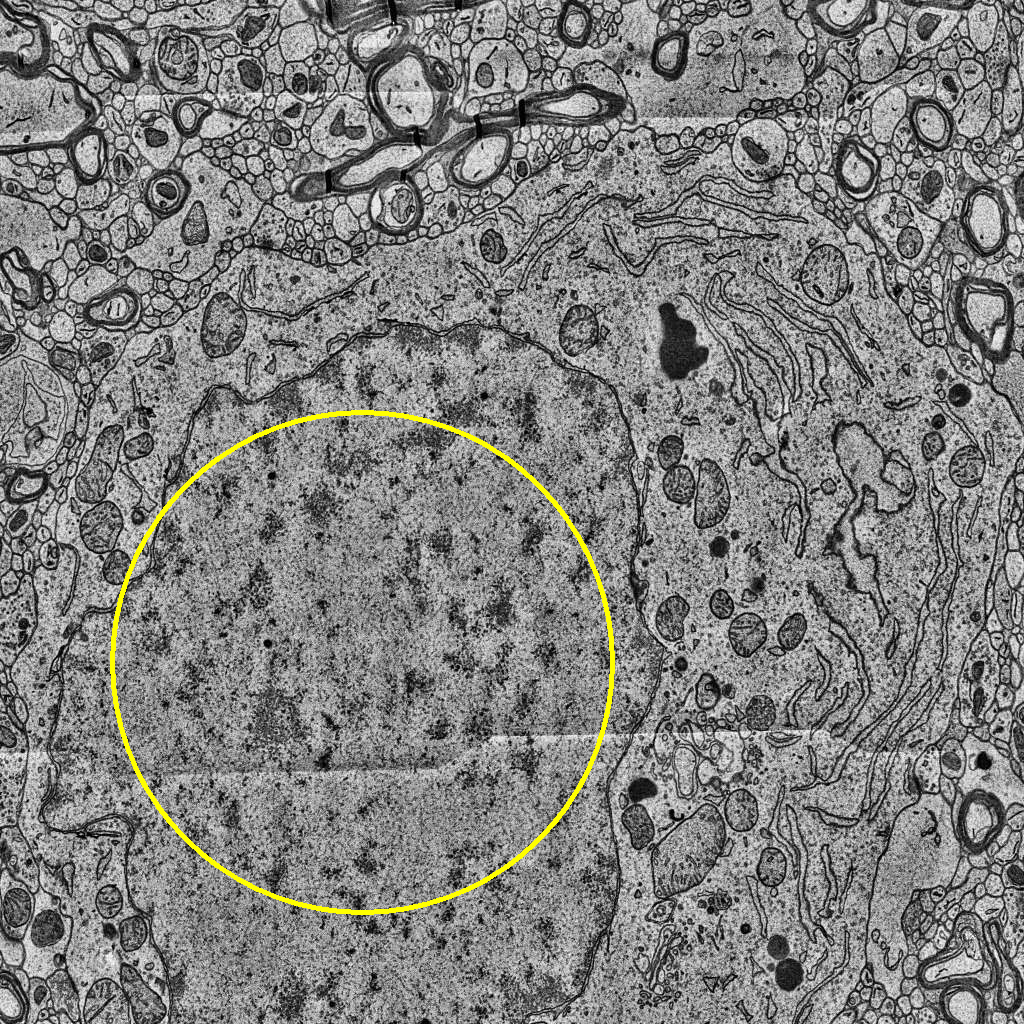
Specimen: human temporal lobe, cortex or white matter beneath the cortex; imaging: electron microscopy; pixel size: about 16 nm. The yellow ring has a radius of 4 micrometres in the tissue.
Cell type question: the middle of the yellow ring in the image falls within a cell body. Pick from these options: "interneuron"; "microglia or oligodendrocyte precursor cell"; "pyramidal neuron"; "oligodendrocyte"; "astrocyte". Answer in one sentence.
The cell body at the center of the ring belongs to an interneuron.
